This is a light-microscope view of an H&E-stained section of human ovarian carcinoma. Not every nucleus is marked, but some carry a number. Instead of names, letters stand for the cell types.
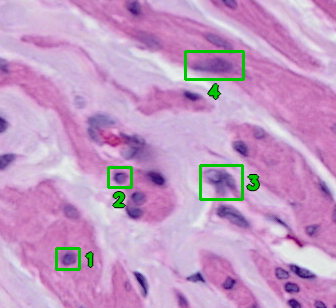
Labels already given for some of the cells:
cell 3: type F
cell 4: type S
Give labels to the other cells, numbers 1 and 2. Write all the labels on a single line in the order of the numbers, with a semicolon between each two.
type S; type S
